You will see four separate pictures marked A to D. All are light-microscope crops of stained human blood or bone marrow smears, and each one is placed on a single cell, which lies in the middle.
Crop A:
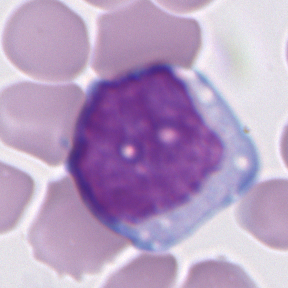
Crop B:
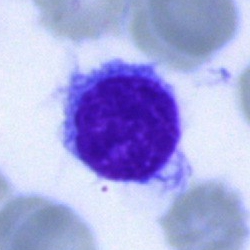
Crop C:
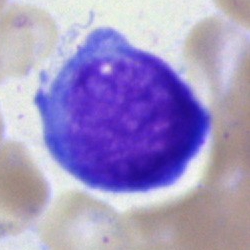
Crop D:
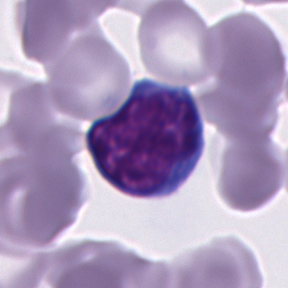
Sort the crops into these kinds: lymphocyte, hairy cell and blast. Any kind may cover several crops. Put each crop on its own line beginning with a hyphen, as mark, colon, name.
- A: blast
- B: hairy cell
- C: blast
- D: lymphocyte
